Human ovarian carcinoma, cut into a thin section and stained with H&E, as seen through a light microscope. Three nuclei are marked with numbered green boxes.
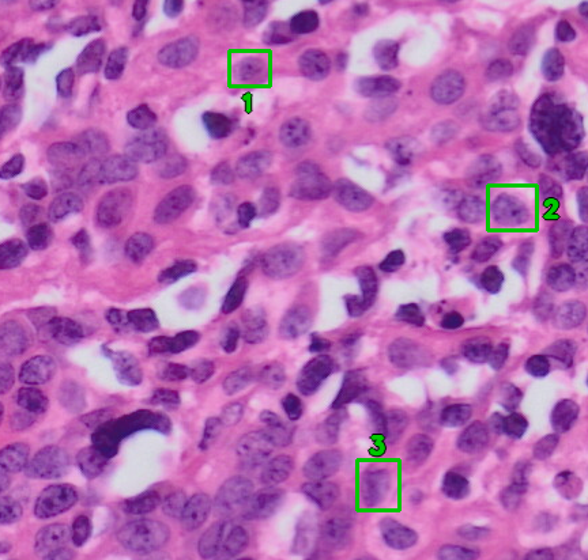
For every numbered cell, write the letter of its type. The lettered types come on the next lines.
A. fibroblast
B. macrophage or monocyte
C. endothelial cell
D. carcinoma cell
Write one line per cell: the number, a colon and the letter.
1: B
2: B
3: D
